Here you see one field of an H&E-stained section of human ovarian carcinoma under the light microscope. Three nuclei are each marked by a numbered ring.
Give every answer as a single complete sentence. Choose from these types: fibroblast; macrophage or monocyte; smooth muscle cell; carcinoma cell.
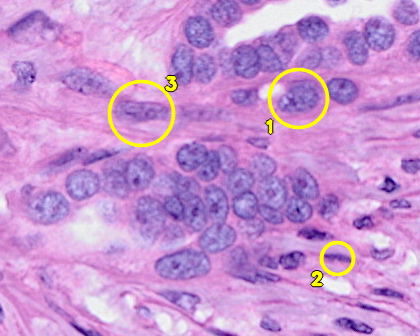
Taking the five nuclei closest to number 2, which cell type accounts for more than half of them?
Macrophages or monocytes make up most of the five nuclei closest to number 2.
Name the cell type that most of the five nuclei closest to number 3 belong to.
Most of the five nuclei nearest to number 3 are those of fibroblasts.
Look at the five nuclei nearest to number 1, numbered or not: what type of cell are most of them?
Carcinoma cells account for more than half of the five nuclei nearest to number 1.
